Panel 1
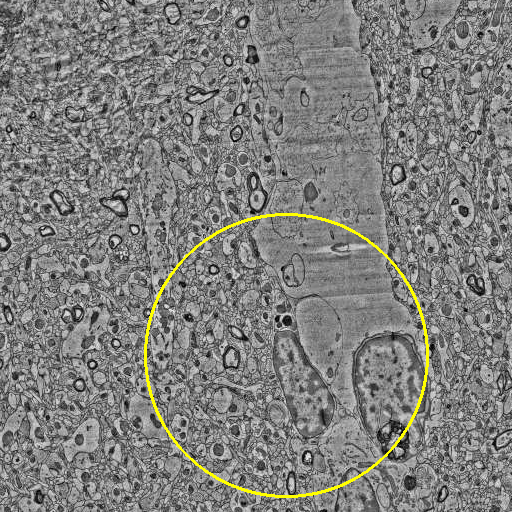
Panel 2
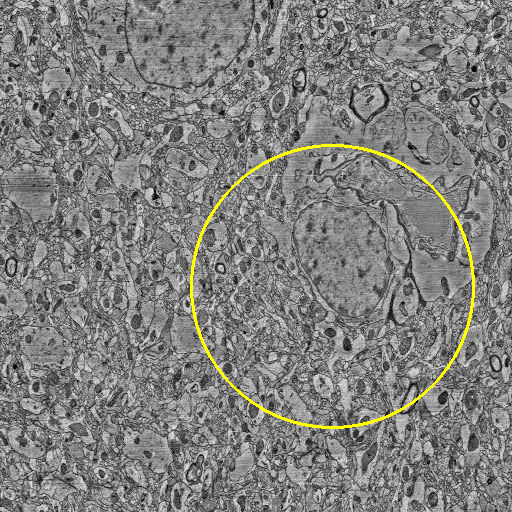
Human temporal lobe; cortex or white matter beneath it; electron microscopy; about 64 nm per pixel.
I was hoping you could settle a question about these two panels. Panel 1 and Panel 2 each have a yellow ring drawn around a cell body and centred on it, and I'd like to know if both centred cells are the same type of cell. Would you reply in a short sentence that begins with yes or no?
Yes, both are the same type of cell.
